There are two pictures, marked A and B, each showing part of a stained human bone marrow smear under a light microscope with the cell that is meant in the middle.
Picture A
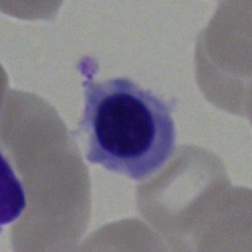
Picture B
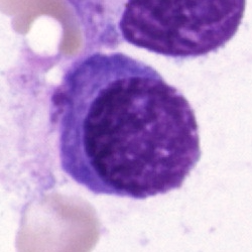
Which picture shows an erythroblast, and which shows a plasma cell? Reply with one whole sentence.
In picture A the cell is an erythroblast; in picture B, a plasma cell.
